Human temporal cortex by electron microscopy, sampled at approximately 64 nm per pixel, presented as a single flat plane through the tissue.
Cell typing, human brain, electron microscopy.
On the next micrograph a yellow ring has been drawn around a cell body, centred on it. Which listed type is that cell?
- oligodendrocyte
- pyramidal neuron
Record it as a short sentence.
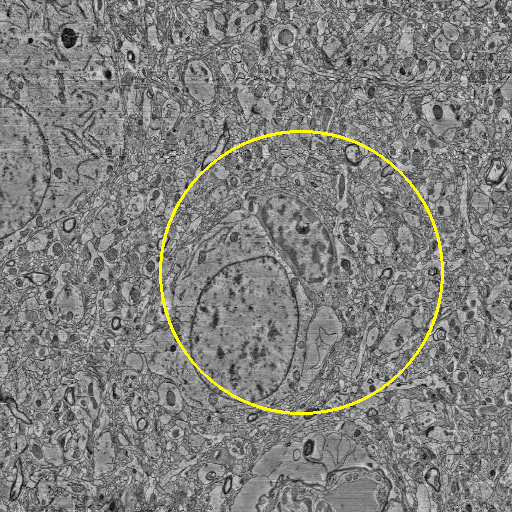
The cell body in the ring's centre belongs to an oligodendrocyte.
